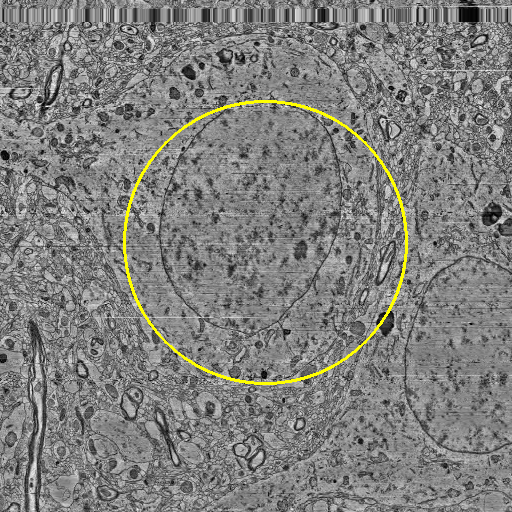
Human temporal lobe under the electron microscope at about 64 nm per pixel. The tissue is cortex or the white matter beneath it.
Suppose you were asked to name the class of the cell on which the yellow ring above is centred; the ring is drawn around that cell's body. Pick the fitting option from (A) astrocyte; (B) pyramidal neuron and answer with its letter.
B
